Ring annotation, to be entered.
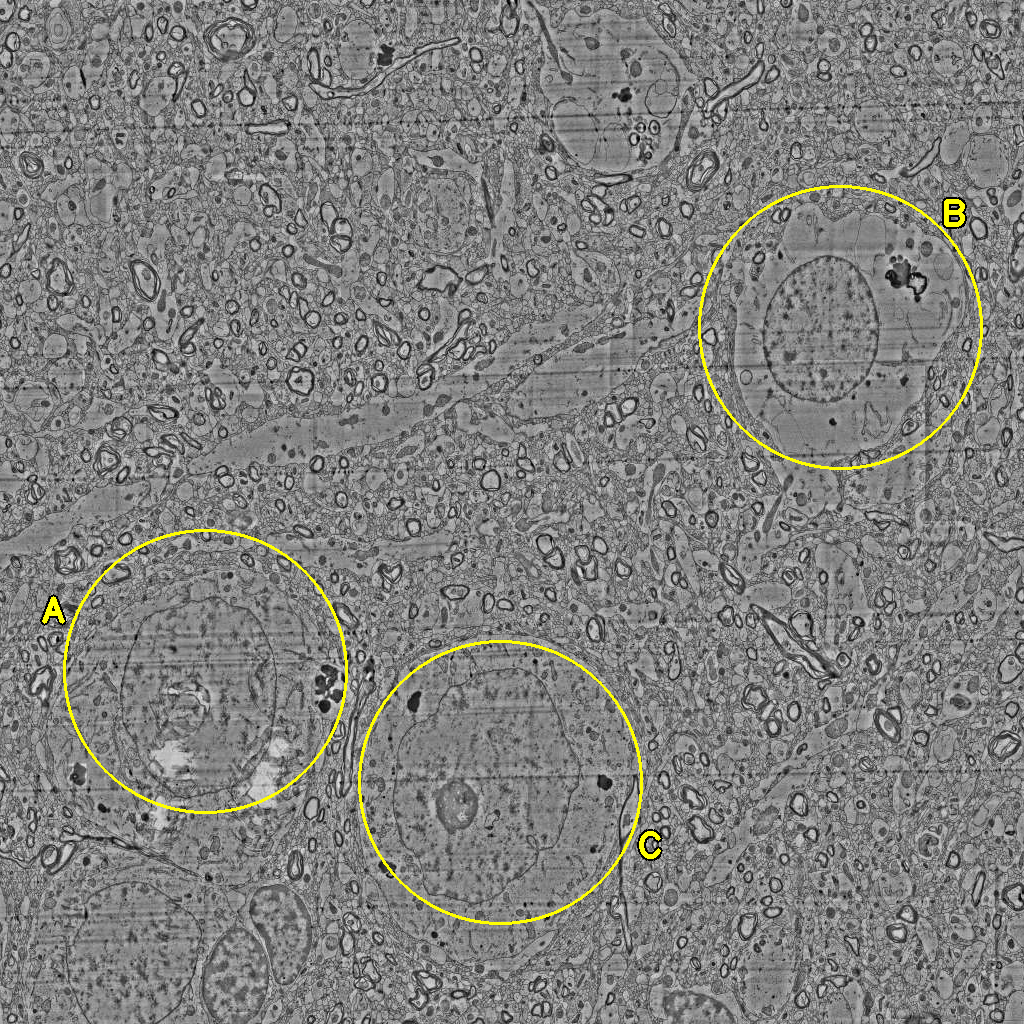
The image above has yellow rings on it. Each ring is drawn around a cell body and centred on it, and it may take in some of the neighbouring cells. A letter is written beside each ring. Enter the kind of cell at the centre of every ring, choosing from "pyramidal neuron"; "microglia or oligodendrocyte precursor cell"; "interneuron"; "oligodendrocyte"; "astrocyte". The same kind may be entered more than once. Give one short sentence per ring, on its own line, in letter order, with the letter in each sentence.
The ring marked A is centred on a pyramidal neuron.
The ring marked B is centred on an astrocyte.
The ring marked C is centred on a pyramidal neuron.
